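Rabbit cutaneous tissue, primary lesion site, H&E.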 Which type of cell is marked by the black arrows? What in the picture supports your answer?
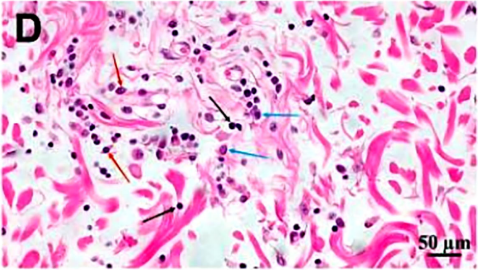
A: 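Small round cells with a dense, dark nucleus. Scant cytoplasm. So: lymphocyte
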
